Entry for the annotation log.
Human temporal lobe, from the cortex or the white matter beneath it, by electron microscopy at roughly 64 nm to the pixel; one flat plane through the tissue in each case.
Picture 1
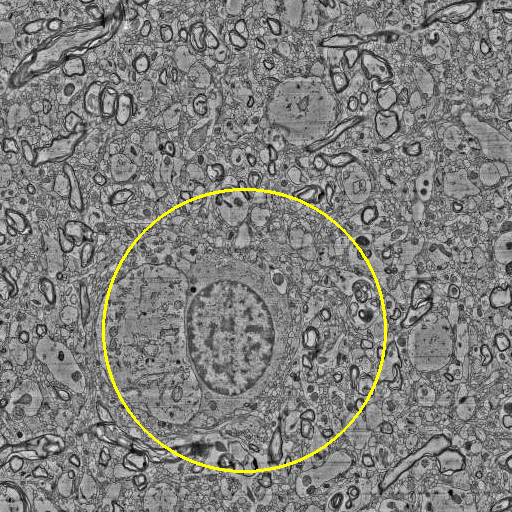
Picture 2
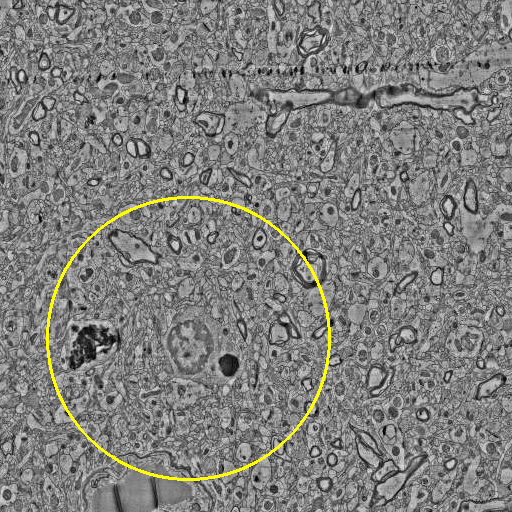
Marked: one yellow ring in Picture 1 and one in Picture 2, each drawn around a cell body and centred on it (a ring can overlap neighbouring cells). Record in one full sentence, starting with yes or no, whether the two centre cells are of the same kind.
Yes, both cells are of the same kind.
